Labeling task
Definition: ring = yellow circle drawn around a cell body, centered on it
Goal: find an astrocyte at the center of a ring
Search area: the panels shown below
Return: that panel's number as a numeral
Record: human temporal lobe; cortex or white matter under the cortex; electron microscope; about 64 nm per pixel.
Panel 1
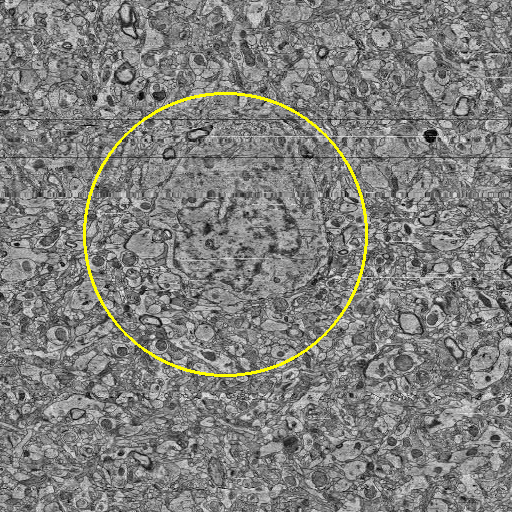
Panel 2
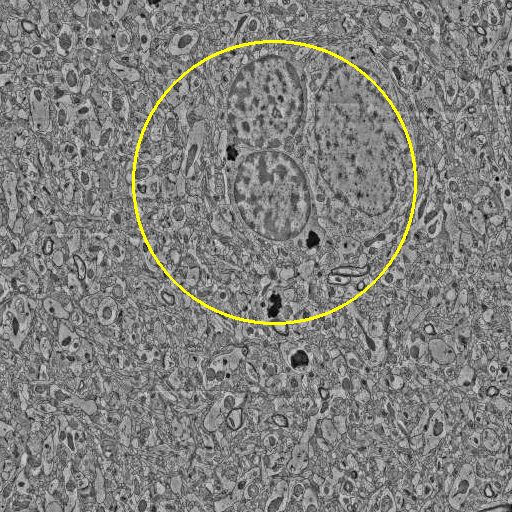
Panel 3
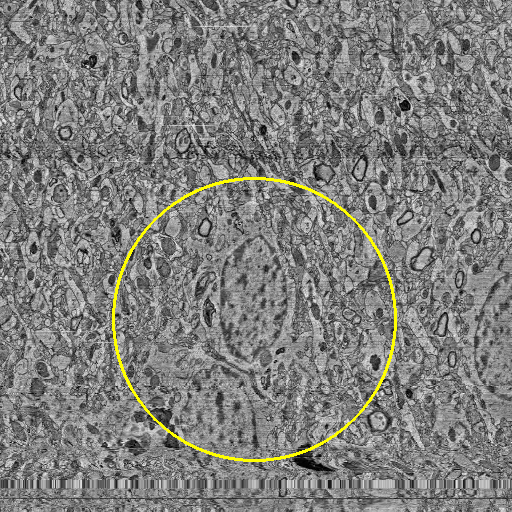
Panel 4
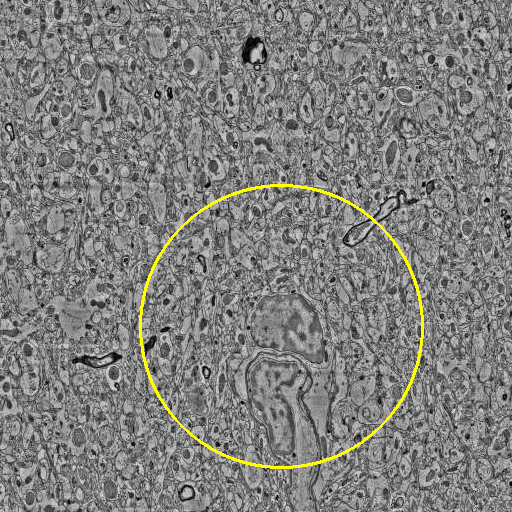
3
